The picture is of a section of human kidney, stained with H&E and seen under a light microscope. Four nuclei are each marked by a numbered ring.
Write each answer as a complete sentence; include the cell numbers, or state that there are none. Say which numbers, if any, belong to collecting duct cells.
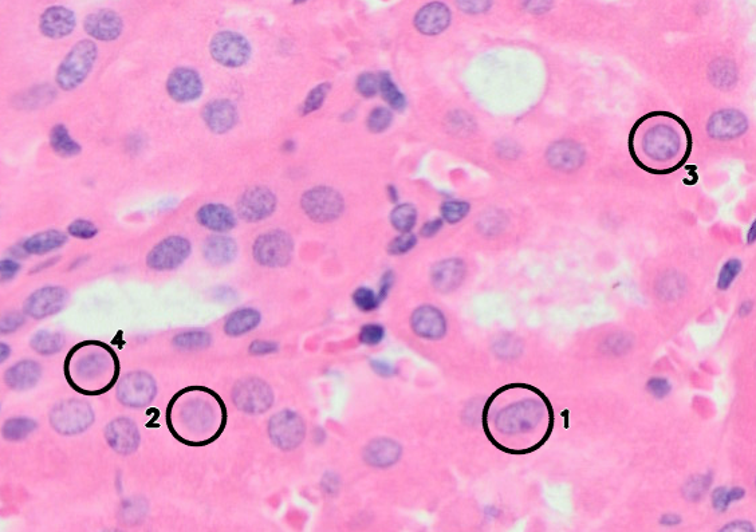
There is only one numbered cell that is a collecting duct cell, and it is cell 4.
